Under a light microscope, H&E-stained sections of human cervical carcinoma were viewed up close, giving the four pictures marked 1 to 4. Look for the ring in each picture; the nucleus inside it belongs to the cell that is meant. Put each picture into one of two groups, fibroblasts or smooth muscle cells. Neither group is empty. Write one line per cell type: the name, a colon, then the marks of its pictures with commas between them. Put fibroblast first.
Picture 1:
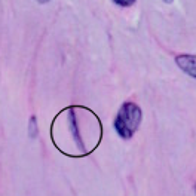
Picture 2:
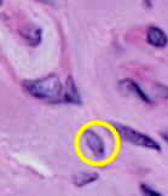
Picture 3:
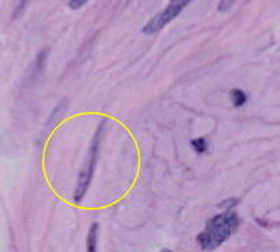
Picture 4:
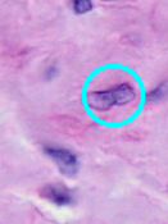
fibroblast: 1, 2, 3
smooth muscle cell: 4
